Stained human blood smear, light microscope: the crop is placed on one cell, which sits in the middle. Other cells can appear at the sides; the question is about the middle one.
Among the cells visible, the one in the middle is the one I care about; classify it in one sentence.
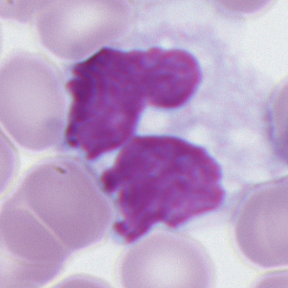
The cell positioned in the middle of the field is a monocyte.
